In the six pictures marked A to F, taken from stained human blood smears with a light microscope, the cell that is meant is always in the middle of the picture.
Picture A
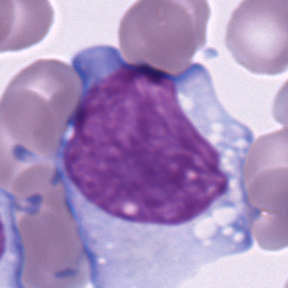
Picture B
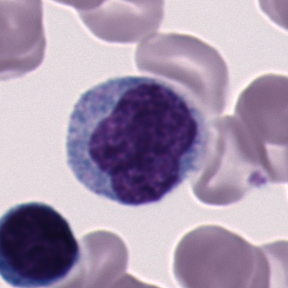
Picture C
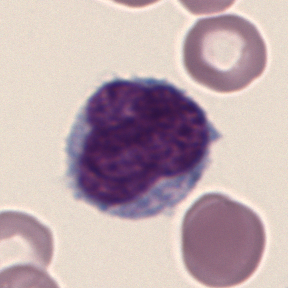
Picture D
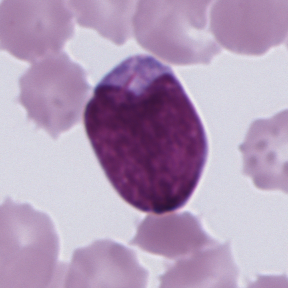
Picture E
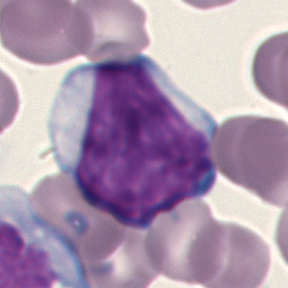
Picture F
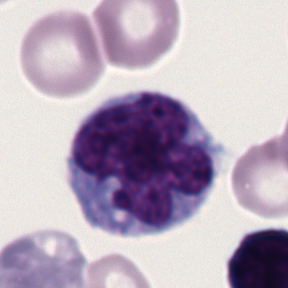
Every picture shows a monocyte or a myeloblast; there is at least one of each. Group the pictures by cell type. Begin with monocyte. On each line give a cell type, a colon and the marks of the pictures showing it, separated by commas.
monocyte: B, C, F
myeloblast: A, D, E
